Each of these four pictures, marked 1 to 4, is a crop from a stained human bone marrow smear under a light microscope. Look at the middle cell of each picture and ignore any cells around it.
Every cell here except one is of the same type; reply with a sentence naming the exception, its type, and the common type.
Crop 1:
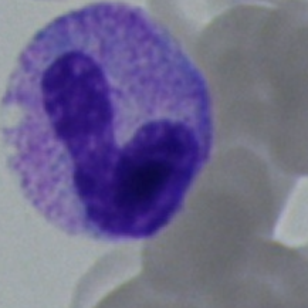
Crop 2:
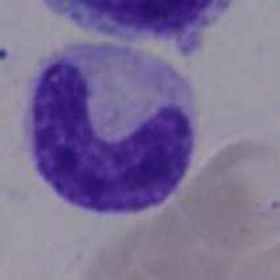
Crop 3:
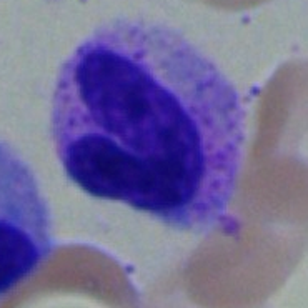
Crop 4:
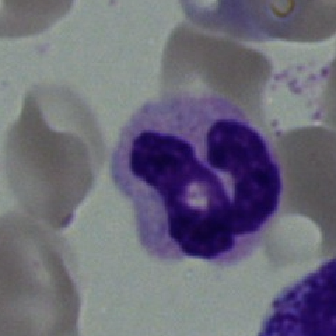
In every crop except crop 4, which shows a segmented neutrophil, band neutrophils are shown.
